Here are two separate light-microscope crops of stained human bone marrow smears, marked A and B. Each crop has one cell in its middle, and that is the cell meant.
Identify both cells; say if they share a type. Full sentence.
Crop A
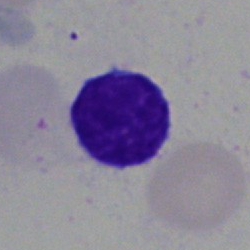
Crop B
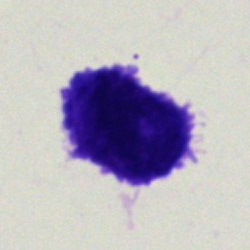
No, crop A is the one with a lymphocyte; crop B has a blast.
